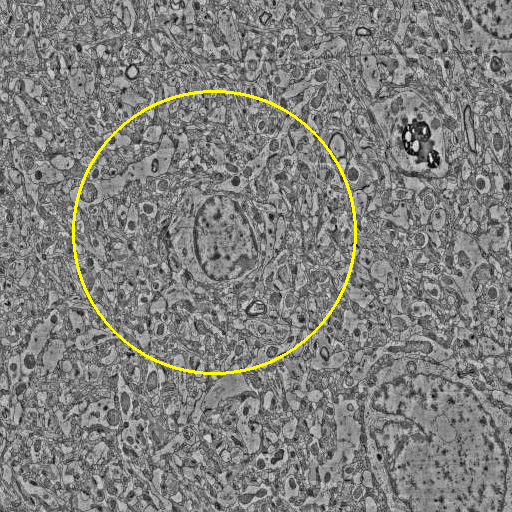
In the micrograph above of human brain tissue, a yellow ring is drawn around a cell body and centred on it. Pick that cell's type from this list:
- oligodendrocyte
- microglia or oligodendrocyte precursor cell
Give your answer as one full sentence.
Going by the list, a microglial cell or oligodendrocyte precursor cell is the cell on which the yellow ring is centred.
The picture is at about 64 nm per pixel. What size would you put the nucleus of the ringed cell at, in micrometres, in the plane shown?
Approximately 6 x 4 micrometres in this plane.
